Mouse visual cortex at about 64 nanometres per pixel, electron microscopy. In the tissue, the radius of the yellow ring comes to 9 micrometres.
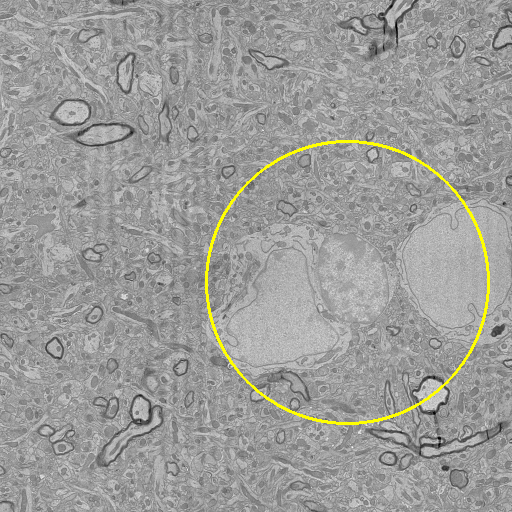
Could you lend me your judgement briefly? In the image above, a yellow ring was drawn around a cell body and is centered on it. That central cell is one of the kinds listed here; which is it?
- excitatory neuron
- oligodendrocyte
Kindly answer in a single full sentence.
Going by the list, an oligodendrocyte is the kind at the ring's center in the picture.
